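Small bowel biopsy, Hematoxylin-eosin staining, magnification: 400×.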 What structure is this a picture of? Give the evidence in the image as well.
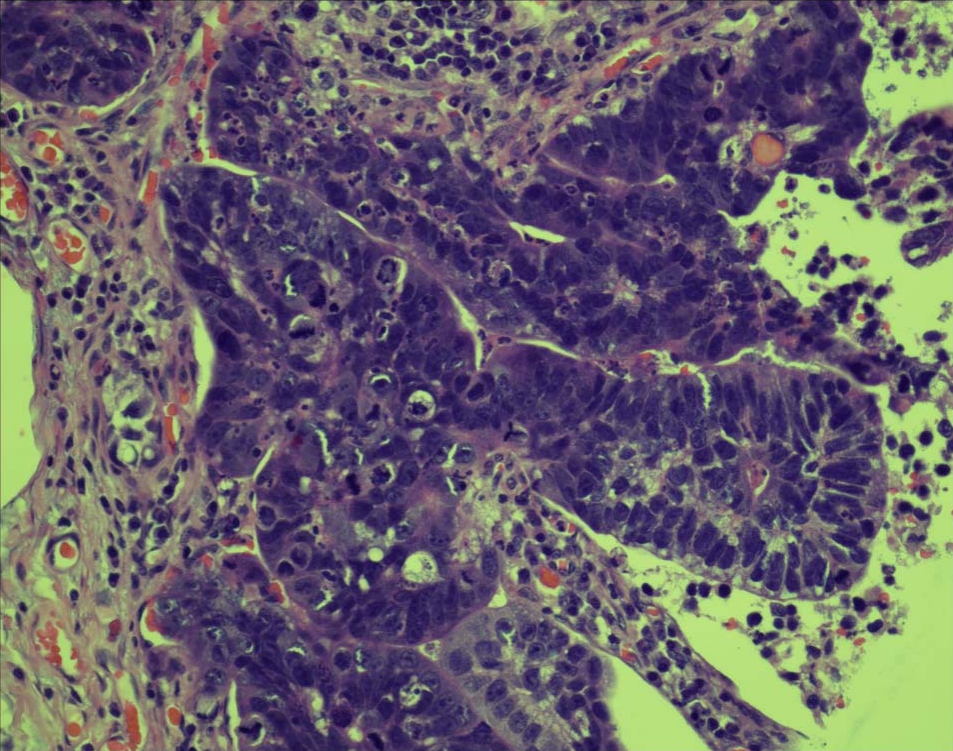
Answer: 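Malignant epithelial nests and glands. Crowded epithelial cells form solid nests and gland-like groups. One group has tall columnar cells arranged radially around a small central lumen. Loose cellular stroma with small vessels and red blood cells lies between the epithelial groups.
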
